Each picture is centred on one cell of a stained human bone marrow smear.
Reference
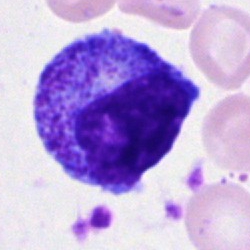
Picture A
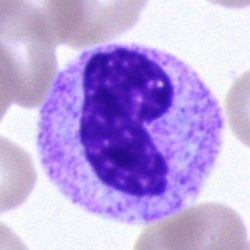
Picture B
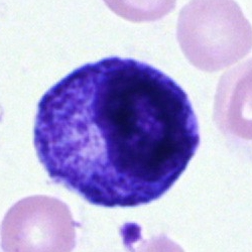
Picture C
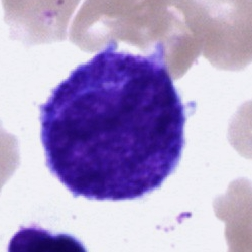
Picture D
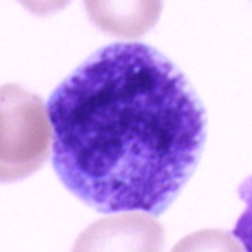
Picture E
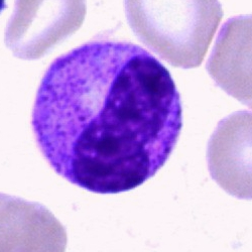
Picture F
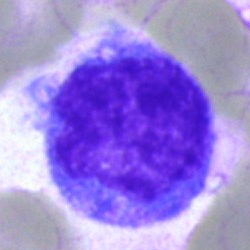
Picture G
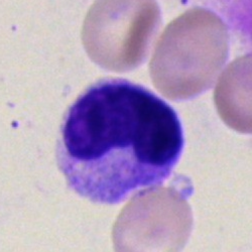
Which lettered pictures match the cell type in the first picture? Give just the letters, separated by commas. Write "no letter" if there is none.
B, C, D, F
